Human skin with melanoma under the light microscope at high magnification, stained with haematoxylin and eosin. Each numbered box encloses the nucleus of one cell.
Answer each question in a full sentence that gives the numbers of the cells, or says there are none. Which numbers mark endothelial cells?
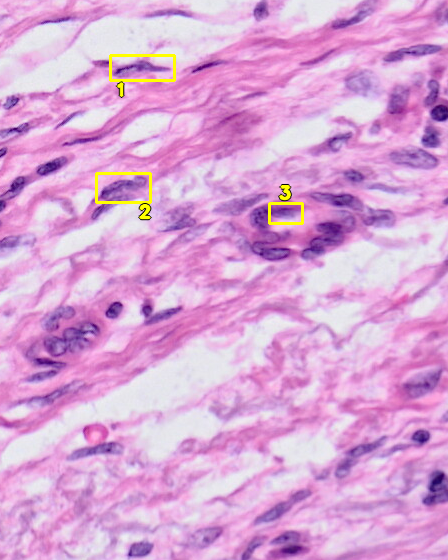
There is just one numbered cell that is an endothelial cell, and it is cell 3.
